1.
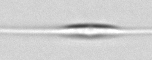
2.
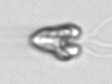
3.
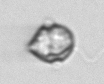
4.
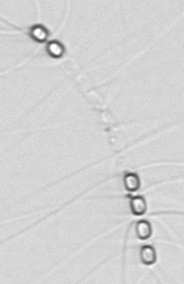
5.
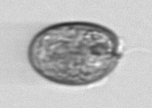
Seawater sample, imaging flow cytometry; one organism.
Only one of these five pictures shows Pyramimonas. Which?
Picture 2.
